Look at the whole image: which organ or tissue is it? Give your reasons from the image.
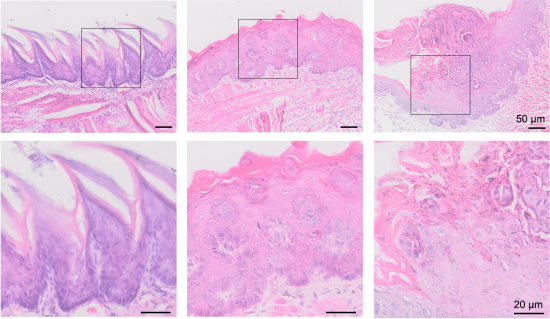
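Left images show a stratified squamous epithelium raised into regular, spiky, keratinized projections. Pink keratin caps the pointed projections of the surface.
Answer: tongue tissue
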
